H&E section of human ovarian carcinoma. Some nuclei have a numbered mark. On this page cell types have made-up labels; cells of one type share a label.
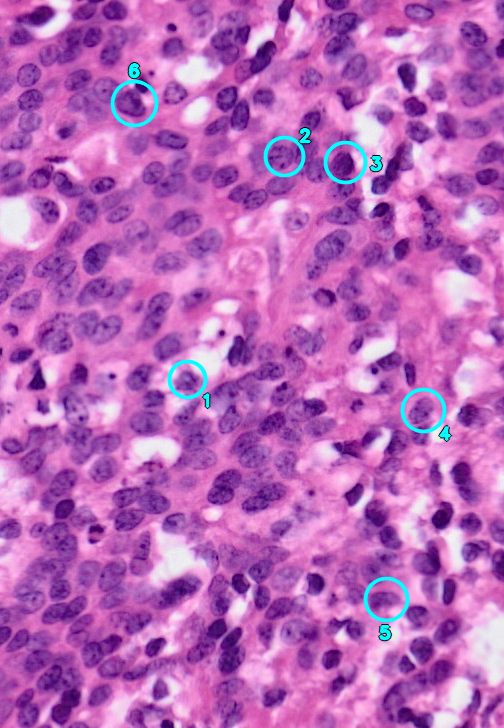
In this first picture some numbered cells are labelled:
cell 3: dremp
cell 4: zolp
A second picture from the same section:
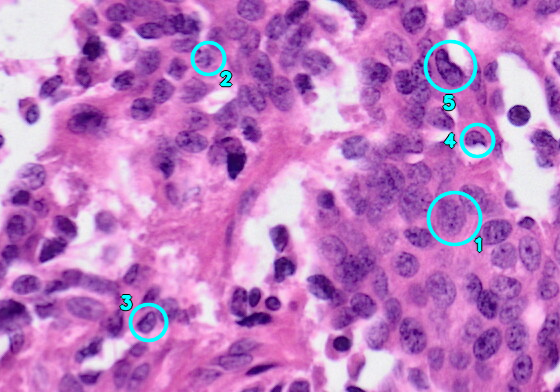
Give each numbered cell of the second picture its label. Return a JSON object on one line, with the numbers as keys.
{"1": "dremp", "2": "zolp", "3": "zolp", "4": "zolp", "5": "dremp"}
